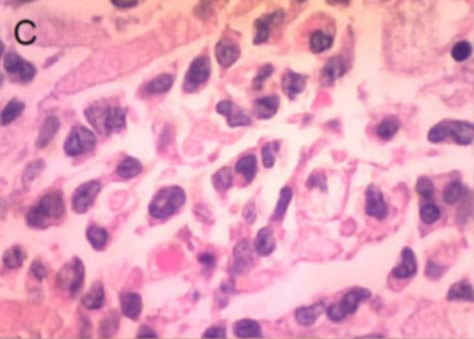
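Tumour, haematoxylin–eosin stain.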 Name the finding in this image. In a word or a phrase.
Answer: Hyaline globules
